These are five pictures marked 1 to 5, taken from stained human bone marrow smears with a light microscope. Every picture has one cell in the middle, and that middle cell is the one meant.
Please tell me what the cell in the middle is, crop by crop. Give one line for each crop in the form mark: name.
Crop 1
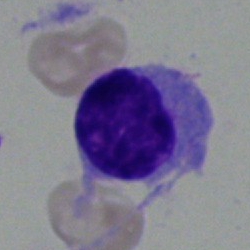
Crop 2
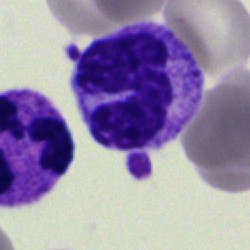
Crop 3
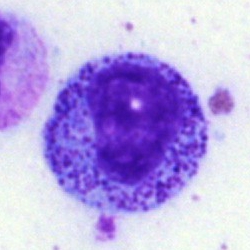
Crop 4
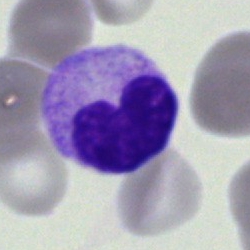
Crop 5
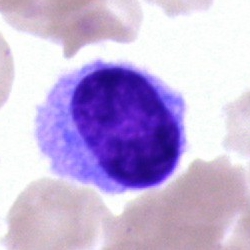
1: hairy cell
2: segmented neutrophil
3: myelocyte
4: metamyelocyte
5: hairy cell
